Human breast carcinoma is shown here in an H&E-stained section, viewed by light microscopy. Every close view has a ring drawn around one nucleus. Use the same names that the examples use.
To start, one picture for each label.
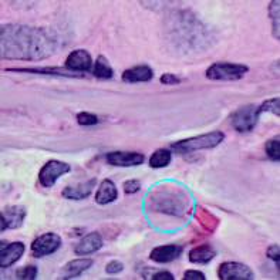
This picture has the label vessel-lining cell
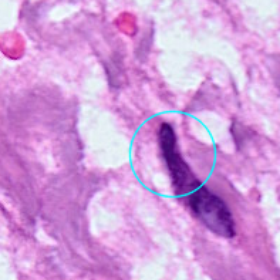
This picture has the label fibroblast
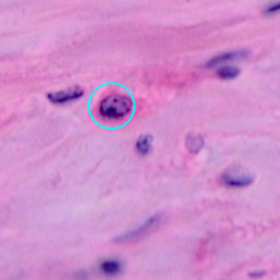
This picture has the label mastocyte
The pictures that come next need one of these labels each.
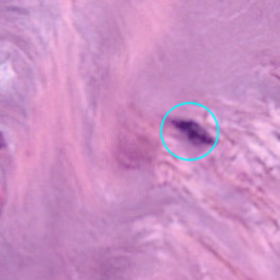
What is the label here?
fibroblast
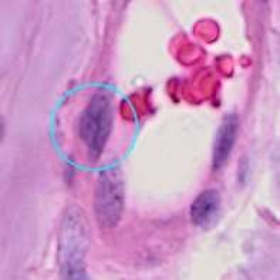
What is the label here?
vessel-lining cell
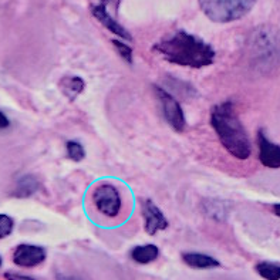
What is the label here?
mastocyte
